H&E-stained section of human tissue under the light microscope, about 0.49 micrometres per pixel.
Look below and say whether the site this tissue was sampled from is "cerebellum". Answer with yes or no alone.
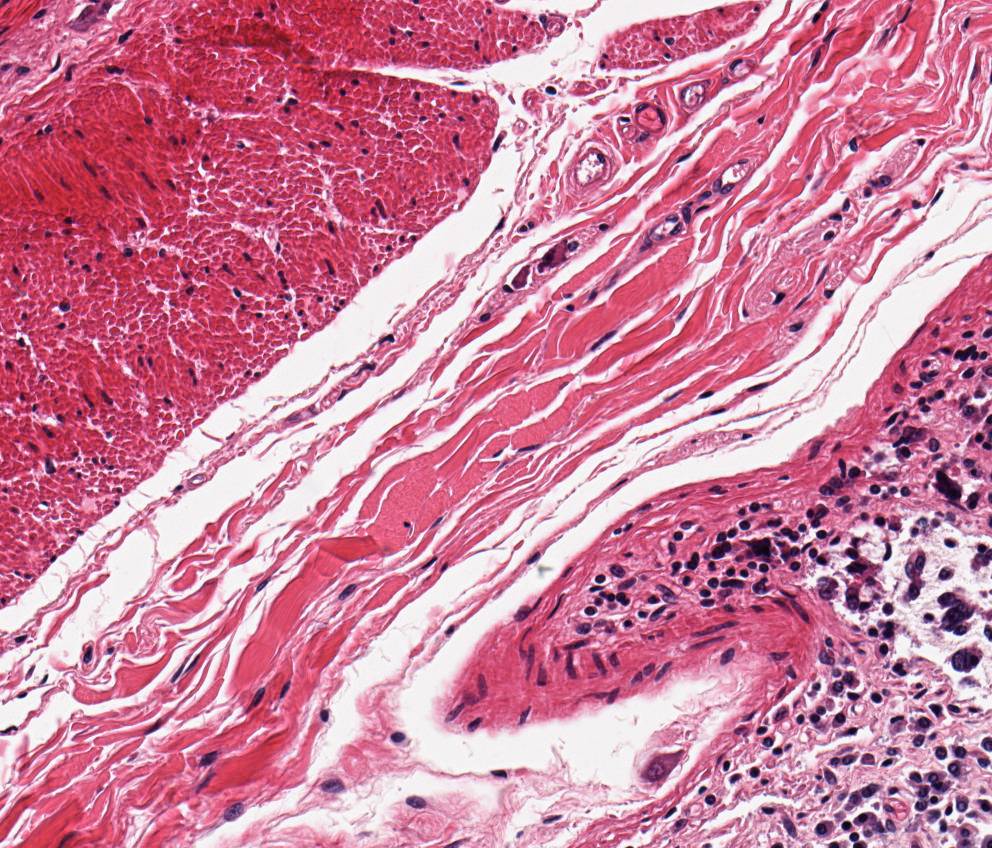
no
